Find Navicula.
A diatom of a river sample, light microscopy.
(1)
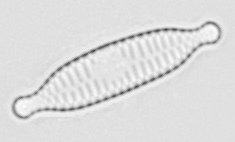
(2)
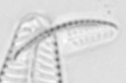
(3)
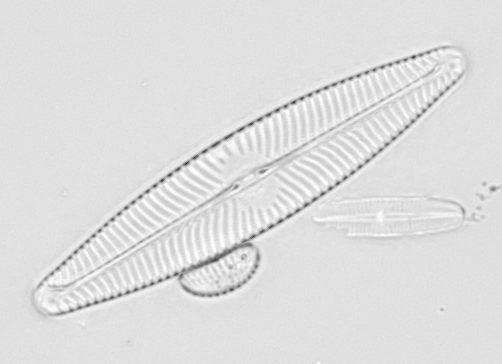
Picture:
3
